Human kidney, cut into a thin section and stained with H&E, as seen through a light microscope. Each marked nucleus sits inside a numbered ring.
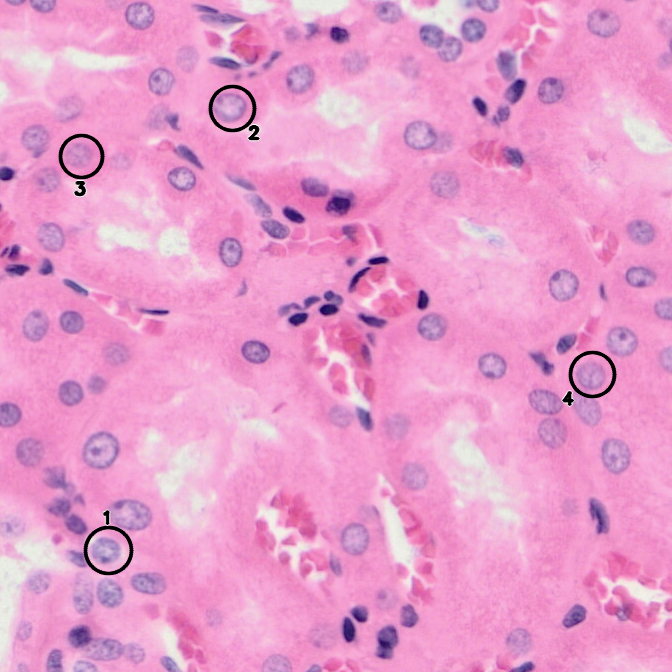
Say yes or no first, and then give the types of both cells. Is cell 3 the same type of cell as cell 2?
Yes, cells 3 and 2 are both to be classed as proximal tubule cells.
